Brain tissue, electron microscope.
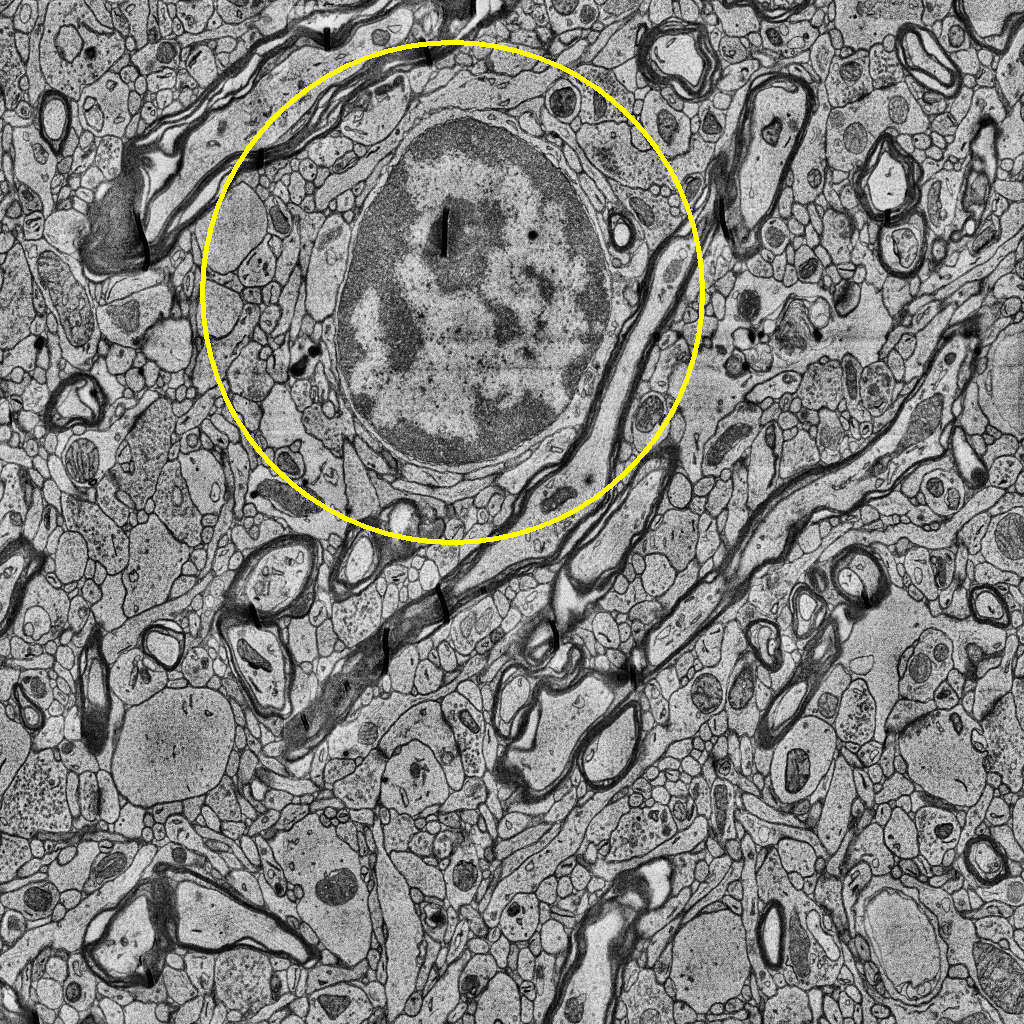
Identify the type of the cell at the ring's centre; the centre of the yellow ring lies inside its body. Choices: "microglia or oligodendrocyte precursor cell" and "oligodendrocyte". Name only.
microglia or oligodendrocyte precursor cell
